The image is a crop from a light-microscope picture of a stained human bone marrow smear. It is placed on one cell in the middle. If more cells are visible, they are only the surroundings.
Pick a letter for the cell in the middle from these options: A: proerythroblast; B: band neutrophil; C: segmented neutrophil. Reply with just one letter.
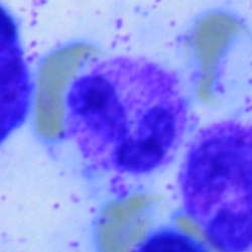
C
